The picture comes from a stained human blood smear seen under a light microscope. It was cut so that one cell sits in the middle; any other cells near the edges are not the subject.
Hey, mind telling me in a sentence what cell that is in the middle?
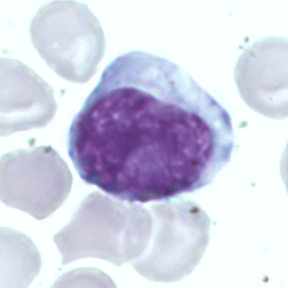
The middle of this crop holds a plasma cell.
